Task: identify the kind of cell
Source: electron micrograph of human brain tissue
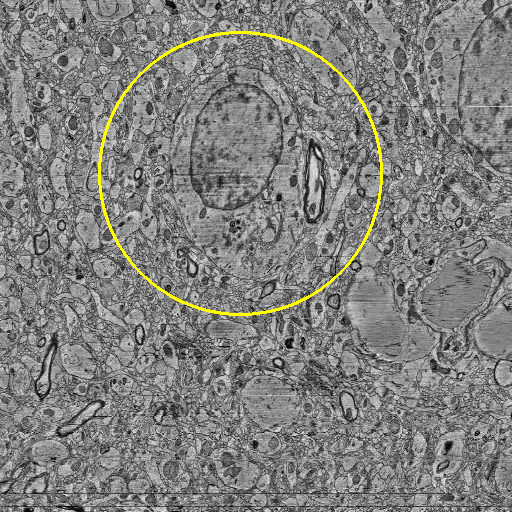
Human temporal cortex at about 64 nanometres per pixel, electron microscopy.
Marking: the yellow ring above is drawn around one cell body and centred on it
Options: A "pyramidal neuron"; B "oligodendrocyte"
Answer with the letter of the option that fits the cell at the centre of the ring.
A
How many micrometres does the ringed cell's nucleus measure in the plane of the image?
In this plane, roughly 8 by 6 micrometres.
